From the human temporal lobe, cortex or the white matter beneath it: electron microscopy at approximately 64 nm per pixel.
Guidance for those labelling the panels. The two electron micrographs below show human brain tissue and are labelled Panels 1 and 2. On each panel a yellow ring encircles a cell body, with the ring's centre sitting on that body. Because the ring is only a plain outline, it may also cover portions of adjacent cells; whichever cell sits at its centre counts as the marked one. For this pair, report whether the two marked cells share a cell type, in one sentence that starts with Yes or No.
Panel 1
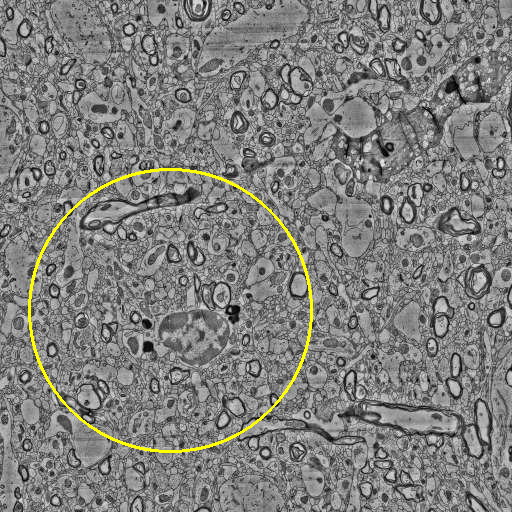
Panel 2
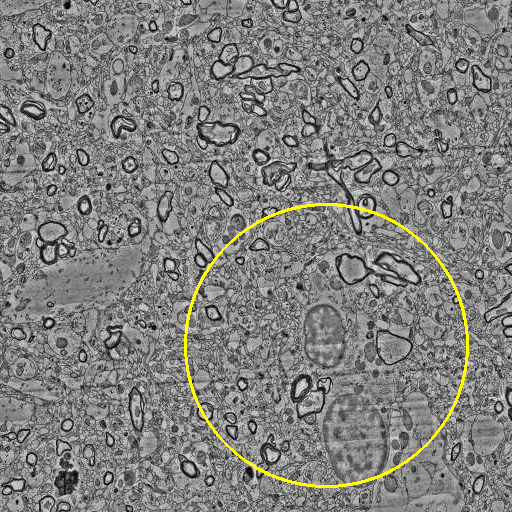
No, in Panel 1 and Panel 2 the marked cells at the ring centres are of two types.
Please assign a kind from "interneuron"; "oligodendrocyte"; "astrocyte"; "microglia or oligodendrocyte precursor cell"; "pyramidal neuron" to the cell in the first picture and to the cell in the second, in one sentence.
In the first picture we have a microglial cell or oligodendrocyte precursor cell, and in the second, an oligodendrocyte.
